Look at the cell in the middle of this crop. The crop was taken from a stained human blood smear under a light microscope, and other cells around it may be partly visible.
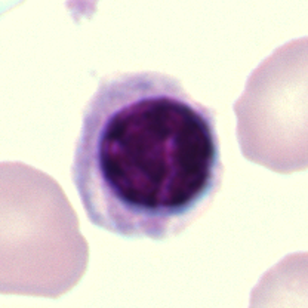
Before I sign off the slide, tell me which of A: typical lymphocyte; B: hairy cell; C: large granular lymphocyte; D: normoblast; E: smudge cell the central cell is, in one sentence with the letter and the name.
Option D is the correct option, with the middle cell being a normoblast.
